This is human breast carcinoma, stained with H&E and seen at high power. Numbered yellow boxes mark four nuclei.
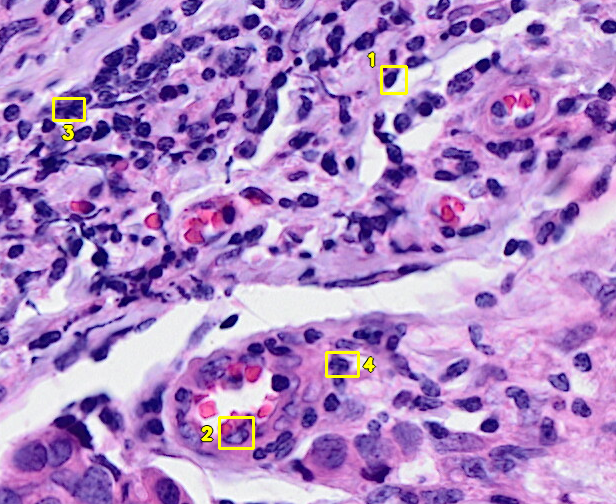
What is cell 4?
lymphocyte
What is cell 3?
lymphocyte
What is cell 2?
endothelial cell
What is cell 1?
lymphocyte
